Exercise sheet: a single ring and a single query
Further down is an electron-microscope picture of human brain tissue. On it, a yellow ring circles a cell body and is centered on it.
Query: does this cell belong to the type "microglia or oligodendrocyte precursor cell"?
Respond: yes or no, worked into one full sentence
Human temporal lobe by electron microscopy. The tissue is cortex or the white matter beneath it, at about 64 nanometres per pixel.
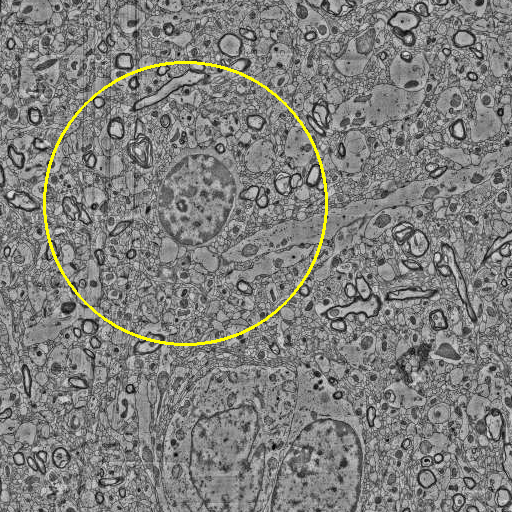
No, this ringed cell, found at the center of the ring in the picture, is of a different type.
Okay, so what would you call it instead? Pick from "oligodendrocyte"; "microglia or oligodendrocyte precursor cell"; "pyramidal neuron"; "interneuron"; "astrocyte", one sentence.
It is an oligodendrocyte at the centre of the ring.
